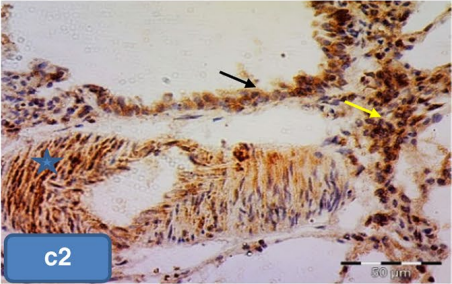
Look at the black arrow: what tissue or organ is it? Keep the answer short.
Lining epithelium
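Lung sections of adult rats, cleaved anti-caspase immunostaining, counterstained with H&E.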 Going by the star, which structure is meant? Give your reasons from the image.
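Arterial wall. The star sits on a thick band of elongated spindle-shaped cells. The band lies in the wall around a lumen. The band is strongly brown.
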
